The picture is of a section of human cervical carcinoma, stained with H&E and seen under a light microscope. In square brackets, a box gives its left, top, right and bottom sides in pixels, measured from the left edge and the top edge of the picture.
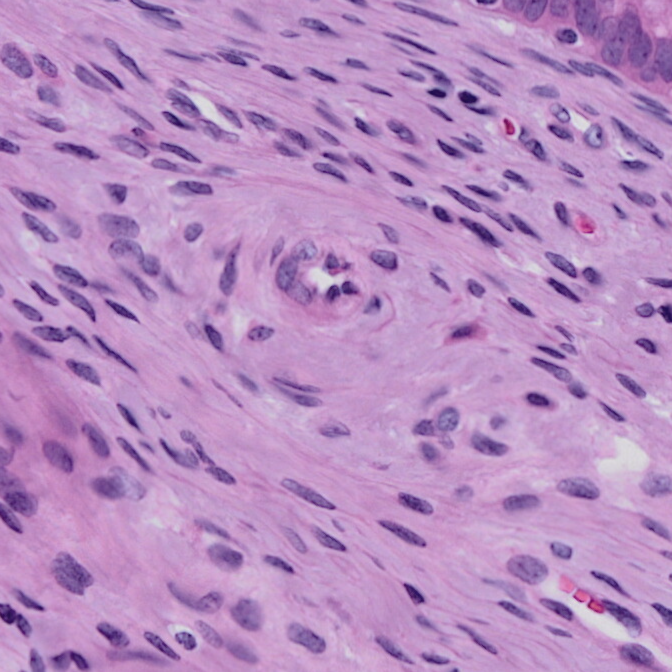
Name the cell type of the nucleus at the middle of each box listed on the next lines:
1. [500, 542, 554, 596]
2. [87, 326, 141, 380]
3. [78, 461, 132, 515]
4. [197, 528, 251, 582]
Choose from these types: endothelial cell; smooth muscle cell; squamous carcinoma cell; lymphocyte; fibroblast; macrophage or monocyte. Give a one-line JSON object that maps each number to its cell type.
{"1": "endothelial cell", "2": "fibroblast", "3": "fibroblast", "4": "fibroblast"}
